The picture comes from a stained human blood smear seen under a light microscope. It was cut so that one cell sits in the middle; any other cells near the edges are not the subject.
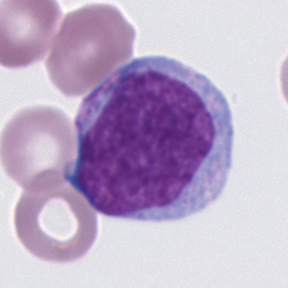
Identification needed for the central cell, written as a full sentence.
This crop has an atypical promyelocyte at its centre.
